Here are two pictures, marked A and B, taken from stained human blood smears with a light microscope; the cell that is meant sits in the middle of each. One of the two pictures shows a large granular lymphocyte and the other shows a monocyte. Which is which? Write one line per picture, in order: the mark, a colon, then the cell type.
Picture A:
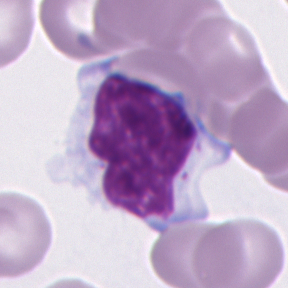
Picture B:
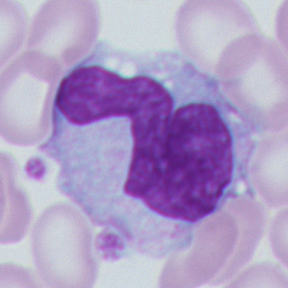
A: large granular lymphocyte
B: monocyte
